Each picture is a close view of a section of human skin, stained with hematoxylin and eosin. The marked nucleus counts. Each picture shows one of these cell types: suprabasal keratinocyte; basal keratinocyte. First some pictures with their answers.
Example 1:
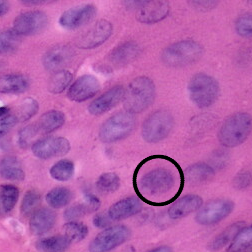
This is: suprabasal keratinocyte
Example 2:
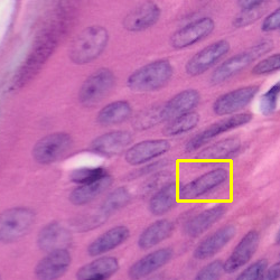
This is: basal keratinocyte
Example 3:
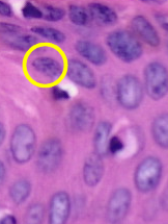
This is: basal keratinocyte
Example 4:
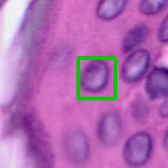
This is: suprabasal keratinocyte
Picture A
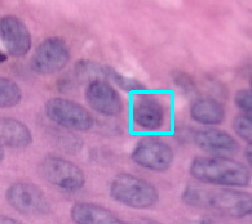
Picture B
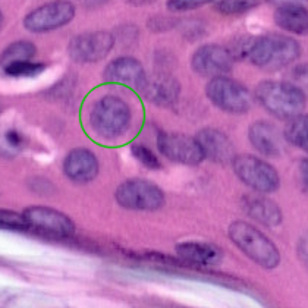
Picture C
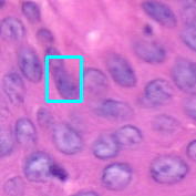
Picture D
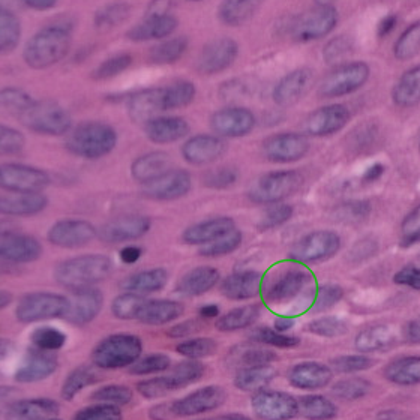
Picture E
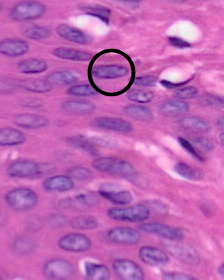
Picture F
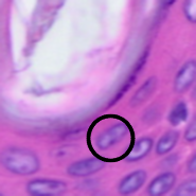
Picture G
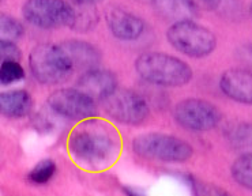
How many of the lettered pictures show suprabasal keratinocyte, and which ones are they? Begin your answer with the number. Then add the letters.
Count: 2 (B, F)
